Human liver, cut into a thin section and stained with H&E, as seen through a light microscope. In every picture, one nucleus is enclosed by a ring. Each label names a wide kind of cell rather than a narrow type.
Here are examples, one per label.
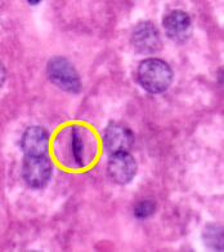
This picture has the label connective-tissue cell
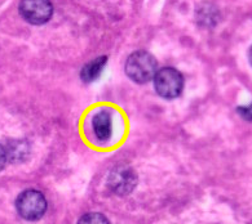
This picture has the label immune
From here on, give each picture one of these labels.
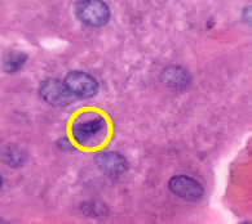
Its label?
connective-tissue cell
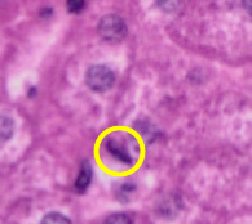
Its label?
connective-tissue cell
